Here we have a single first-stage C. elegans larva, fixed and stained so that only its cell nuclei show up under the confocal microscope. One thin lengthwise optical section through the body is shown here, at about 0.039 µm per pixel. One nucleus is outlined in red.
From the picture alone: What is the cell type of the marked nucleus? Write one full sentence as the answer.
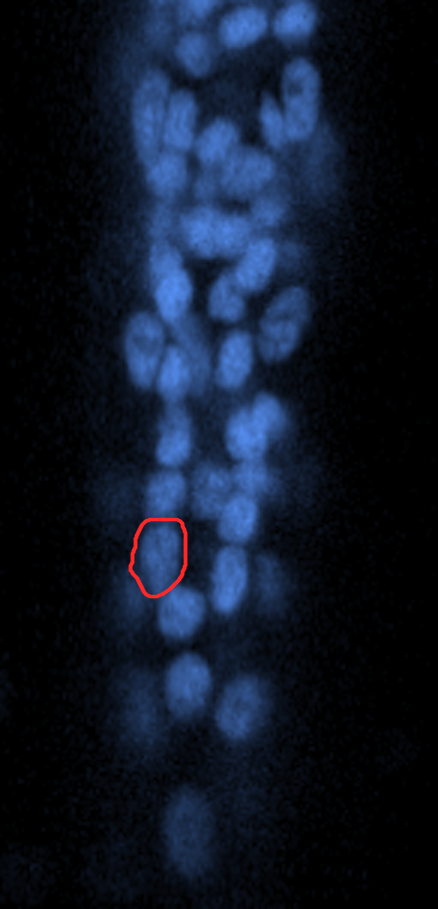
It belongs to a glial cell (sheath or socket).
